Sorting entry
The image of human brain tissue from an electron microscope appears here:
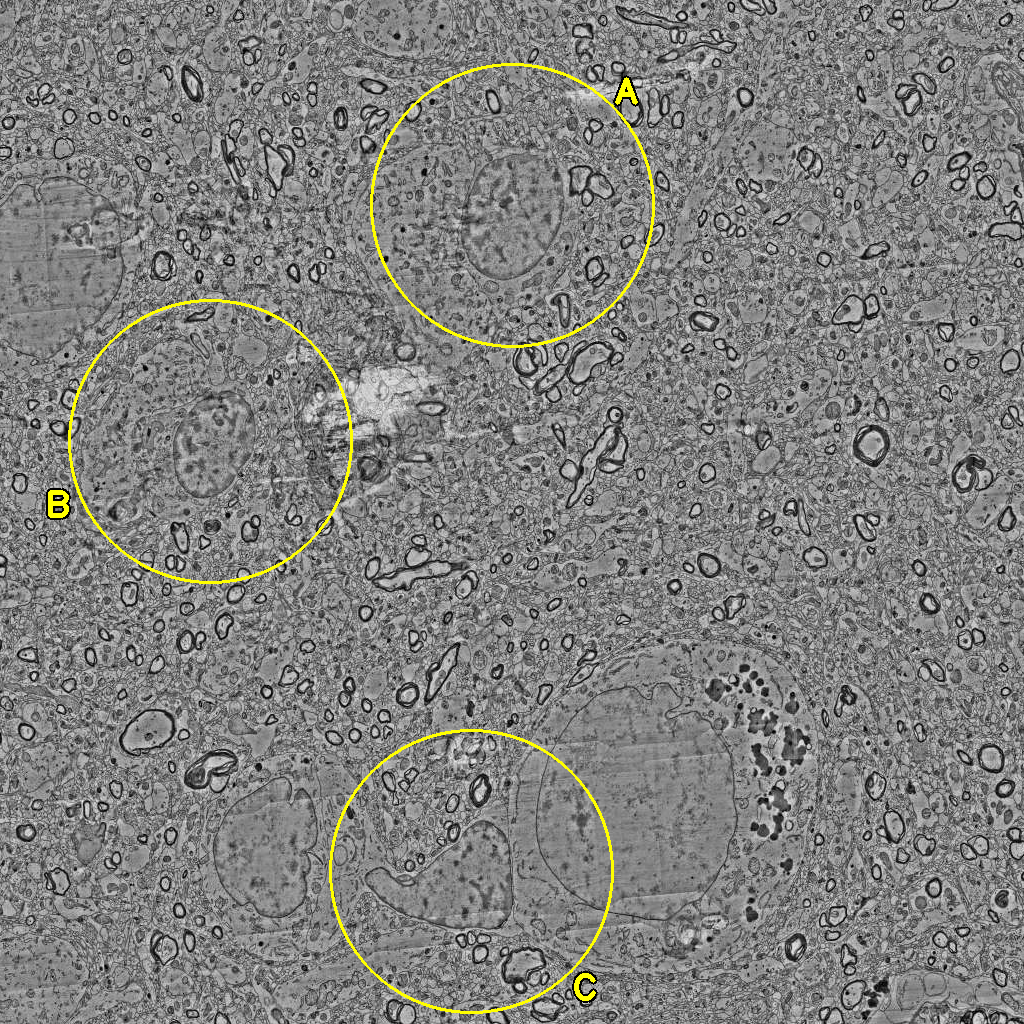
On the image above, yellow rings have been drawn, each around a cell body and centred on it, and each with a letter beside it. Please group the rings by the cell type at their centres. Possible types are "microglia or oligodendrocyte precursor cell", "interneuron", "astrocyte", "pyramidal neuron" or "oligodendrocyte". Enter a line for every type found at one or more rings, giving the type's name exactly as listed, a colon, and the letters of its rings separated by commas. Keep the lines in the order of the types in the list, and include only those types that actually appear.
microglia or oligodendrocyte precursor cell: C
oligodendrocyte: A, B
